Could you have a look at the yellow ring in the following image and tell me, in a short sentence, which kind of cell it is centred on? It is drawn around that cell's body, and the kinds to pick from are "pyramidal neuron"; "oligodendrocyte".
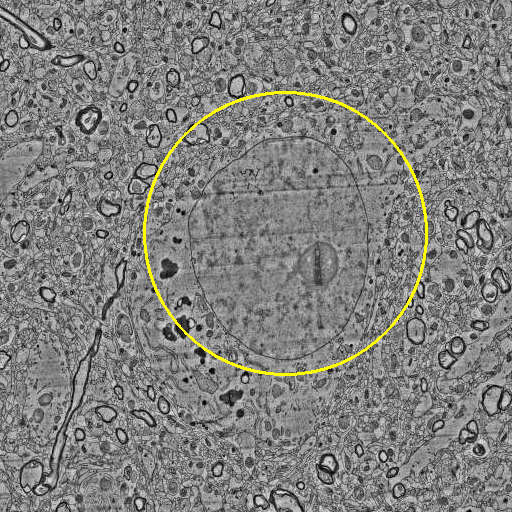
The ring is centred on the body of a pyramidal neuron.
